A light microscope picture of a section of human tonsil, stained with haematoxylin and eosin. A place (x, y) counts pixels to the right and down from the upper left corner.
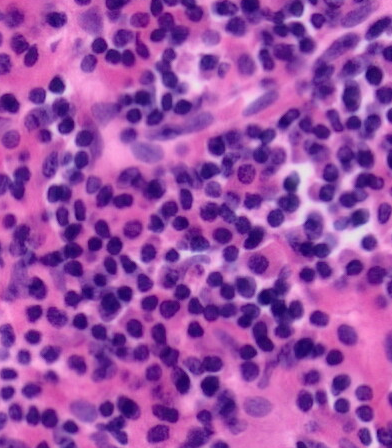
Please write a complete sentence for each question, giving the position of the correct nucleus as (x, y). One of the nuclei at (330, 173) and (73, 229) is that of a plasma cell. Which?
Of the pair, the nucleus positioned at (330, 173) is that of a plasma cell.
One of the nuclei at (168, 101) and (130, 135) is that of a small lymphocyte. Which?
The one at (168, 101) is the nucleus belonging to a small lymphocyte, not the other one.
